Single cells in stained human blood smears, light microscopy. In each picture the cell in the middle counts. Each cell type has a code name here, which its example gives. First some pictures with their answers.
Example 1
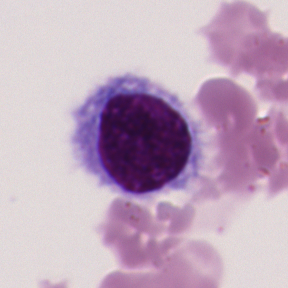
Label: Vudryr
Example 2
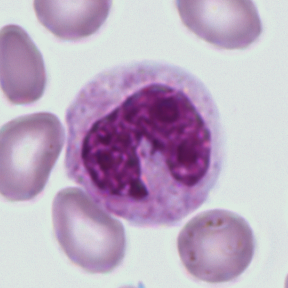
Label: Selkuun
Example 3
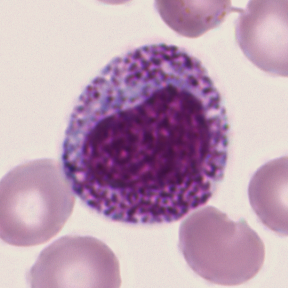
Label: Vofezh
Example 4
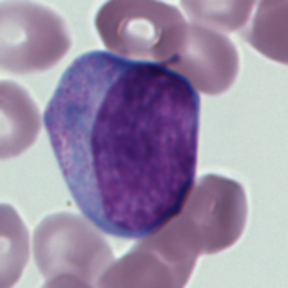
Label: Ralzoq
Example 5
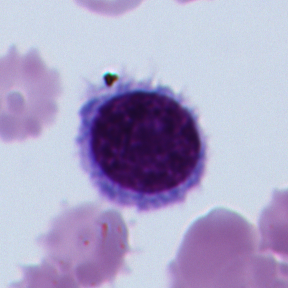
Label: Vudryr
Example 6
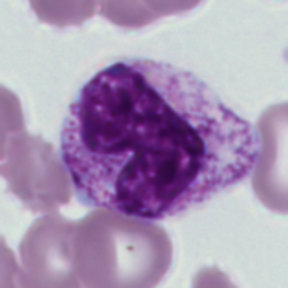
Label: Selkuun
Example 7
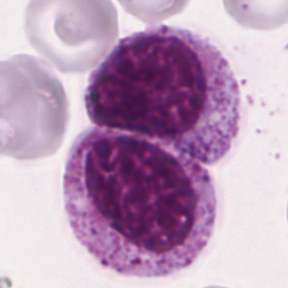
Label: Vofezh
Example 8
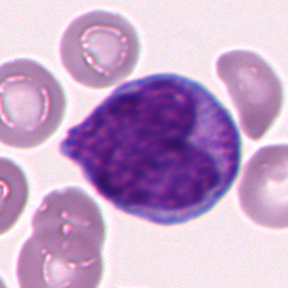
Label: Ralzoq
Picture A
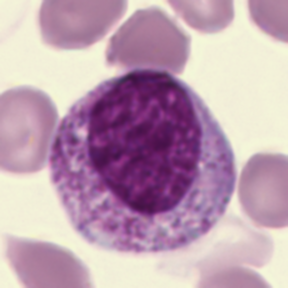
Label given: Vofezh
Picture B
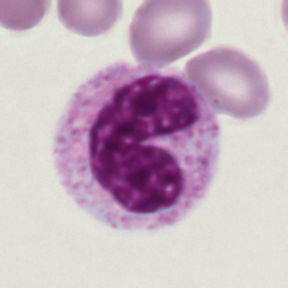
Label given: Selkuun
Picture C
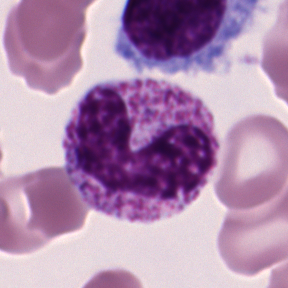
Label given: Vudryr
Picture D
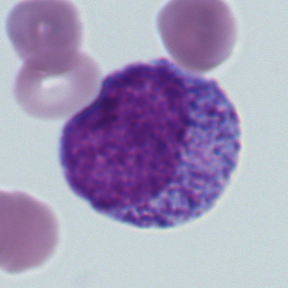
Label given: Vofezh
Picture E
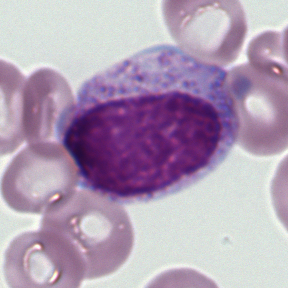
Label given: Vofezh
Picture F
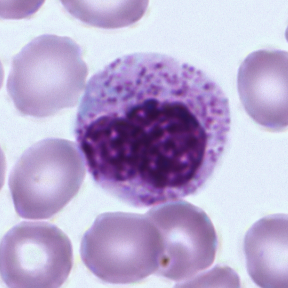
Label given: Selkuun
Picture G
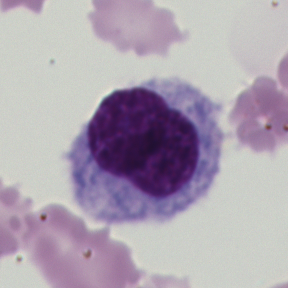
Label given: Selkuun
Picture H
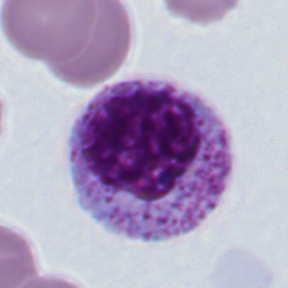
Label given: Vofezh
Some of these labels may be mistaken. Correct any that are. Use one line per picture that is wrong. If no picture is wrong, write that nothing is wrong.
C: Selkuun, not Vudryr
G: Vudryr, not Selkuun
